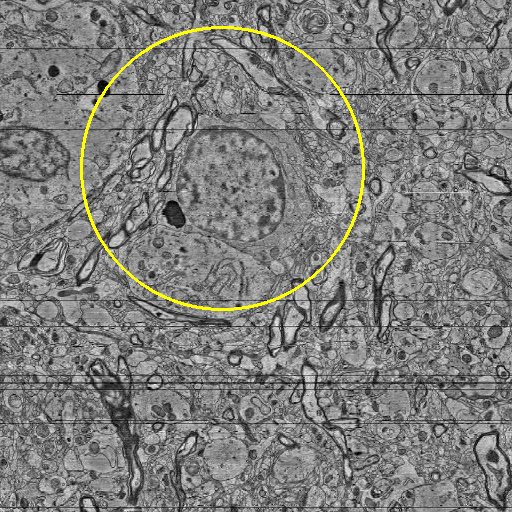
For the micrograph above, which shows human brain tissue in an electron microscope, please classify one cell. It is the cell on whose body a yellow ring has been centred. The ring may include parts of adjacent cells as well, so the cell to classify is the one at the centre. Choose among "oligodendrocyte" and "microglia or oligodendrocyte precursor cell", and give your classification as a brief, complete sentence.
I classify this cell as an oligodendrocyte.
